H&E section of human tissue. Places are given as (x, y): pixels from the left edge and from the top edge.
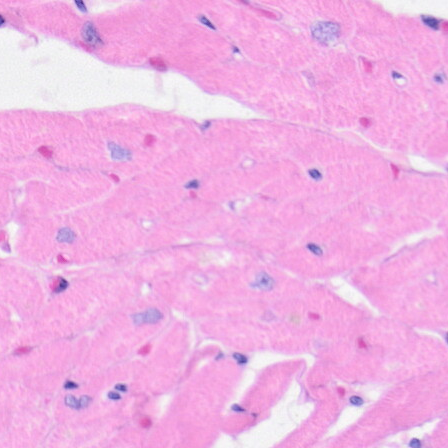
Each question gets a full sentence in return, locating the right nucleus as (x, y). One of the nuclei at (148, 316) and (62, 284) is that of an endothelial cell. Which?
Only the nucleus at (62, 284), of the two, belongs to an endothelial cell.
